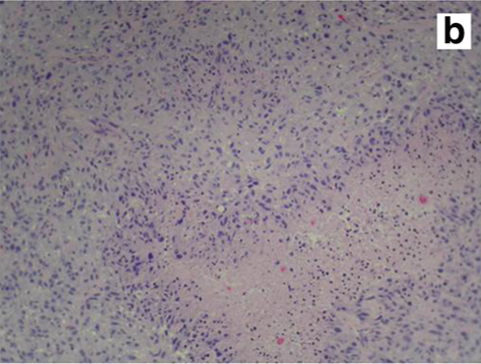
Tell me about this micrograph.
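This is a cellular tumour made of spindle-shaped and plumper epithelioid cells lying in sheets and loose fascicles. Toward the lower centre the tissue turns paler pink, with fewer intact cells and scattered small dark nuclear fragments, consistent with a small focus of necrosis.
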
